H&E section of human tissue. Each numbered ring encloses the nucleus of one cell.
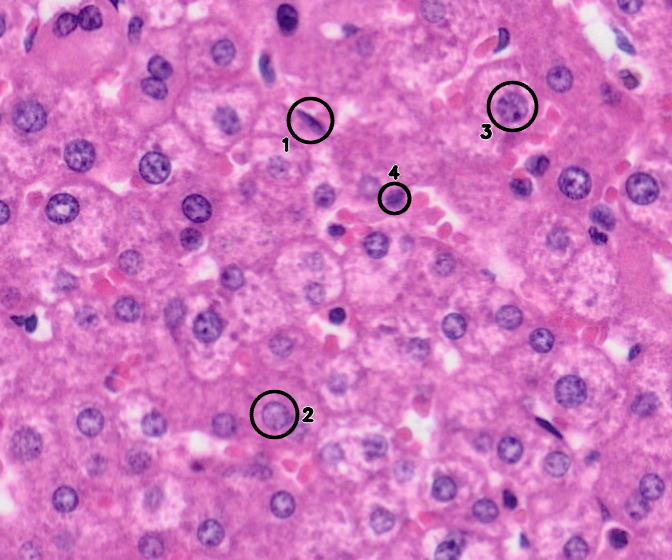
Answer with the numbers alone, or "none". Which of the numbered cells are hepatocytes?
2, 3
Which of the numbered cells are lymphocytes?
none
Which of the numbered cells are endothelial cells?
1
